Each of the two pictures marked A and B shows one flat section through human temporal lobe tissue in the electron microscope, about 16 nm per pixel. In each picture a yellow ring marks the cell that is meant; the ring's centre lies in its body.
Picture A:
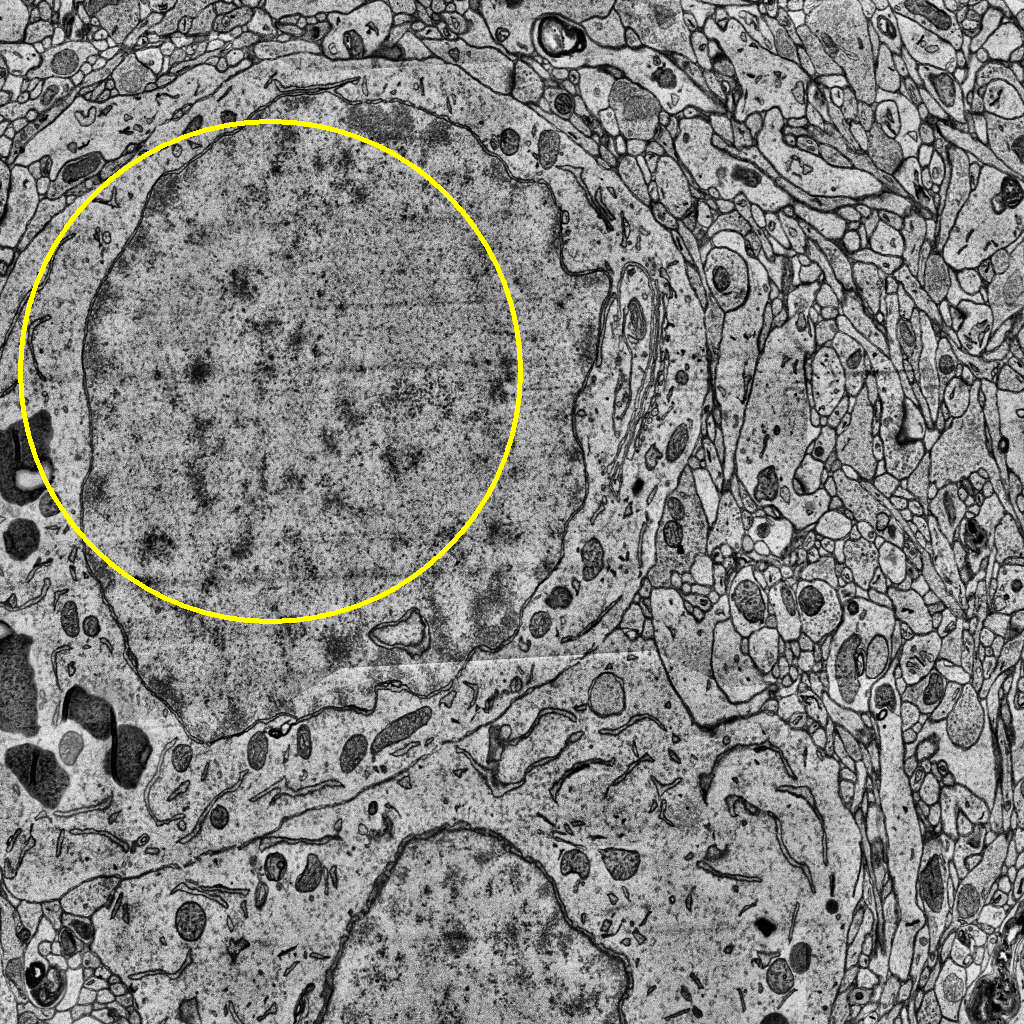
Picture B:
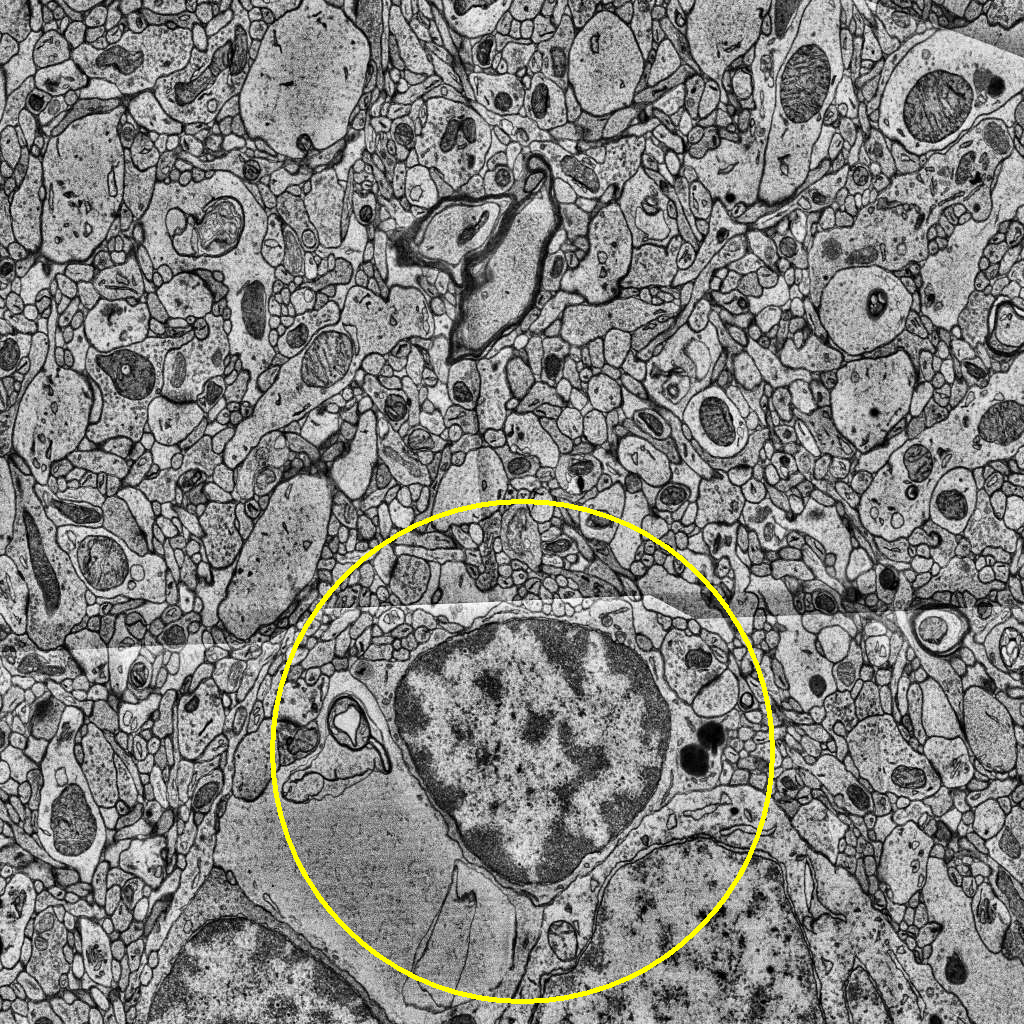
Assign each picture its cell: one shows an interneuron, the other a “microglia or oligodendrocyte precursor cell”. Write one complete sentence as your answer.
Picture B shows a “microglia or oligodendrocyte precursor cell”, while picture A shows an interneuron.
